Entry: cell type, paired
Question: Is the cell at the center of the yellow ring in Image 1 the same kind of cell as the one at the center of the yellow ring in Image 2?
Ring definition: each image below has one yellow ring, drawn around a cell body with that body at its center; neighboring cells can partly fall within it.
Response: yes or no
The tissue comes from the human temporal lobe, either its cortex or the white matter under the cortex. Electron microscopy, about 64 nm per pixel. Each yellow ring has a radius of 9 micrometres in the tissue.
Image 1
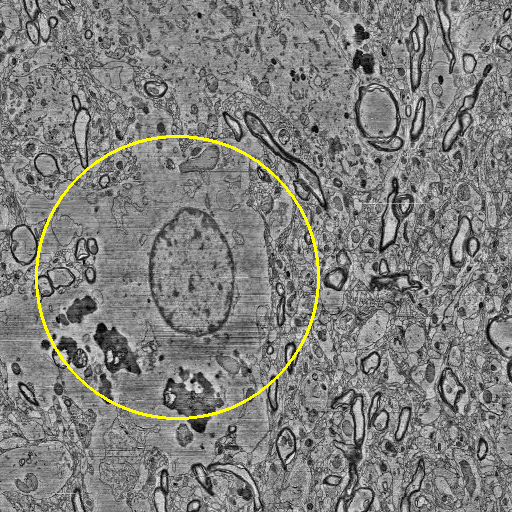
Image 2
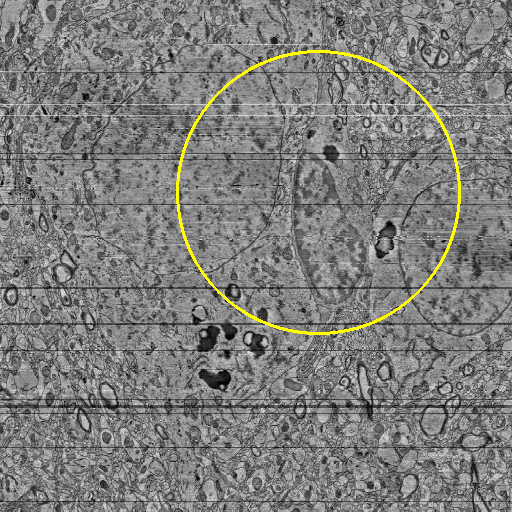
no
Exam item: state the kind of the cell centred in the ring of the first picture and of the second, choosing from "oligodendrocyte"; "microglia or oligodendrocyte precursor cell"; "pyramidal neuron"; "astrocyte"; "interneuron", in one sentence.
The first picture shows an astrocyte at the ring centre and the second shows an oligodendrocyte.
